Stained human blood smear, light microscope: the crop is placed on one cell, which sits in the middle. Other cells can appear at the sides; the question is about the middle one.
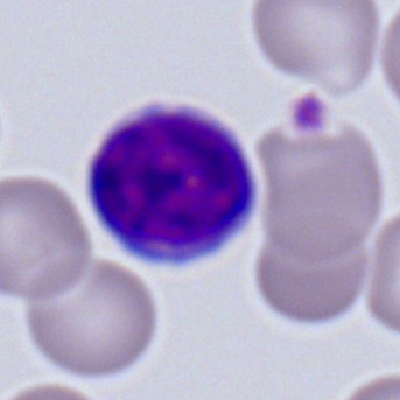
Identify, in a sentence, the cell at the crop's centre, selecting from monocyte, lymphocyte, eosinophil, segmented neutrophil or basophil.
This particular crop is centered on a lymphocyte.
